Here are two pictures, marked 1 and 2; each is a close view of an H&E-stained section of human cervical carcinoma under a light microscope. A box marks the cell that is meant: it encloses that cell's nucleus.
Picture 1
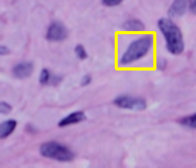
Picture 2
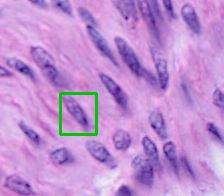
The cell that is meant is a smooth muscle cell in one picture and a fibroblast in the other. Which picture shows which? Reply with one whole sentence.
In picture 1 the cell is a fibroblast; in picture 2, a smooth muscle cell.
